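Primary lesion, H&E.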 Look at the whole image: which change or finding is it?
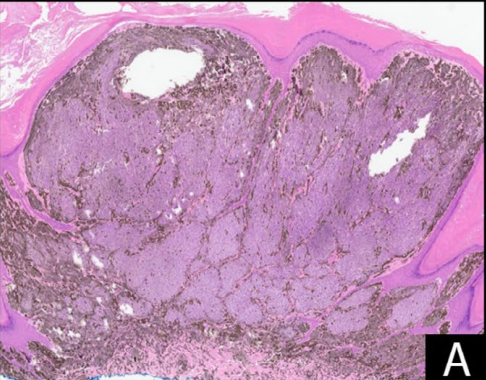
Expansile and exophytic growth.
